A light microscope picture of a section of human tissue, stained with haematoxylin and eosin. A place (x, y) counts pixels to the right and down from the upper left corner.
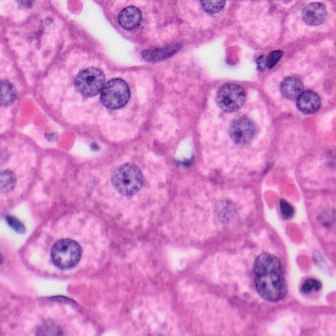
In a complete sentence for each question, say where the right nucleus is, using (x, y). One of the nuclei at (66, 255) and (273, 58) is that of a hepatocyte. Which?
The nucleus at (66, 255) is the member of the pair belonging to a hepatocyte.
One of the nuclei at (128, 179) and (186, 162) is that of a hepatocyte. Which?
Which one belongs to a hepatocyte? The nucleus at (128, 179) does.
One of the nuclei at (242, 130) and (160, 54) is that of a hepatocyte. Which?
Between the two nuclei, the one sitting at (242, 130) belongs to a hepatocyte.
